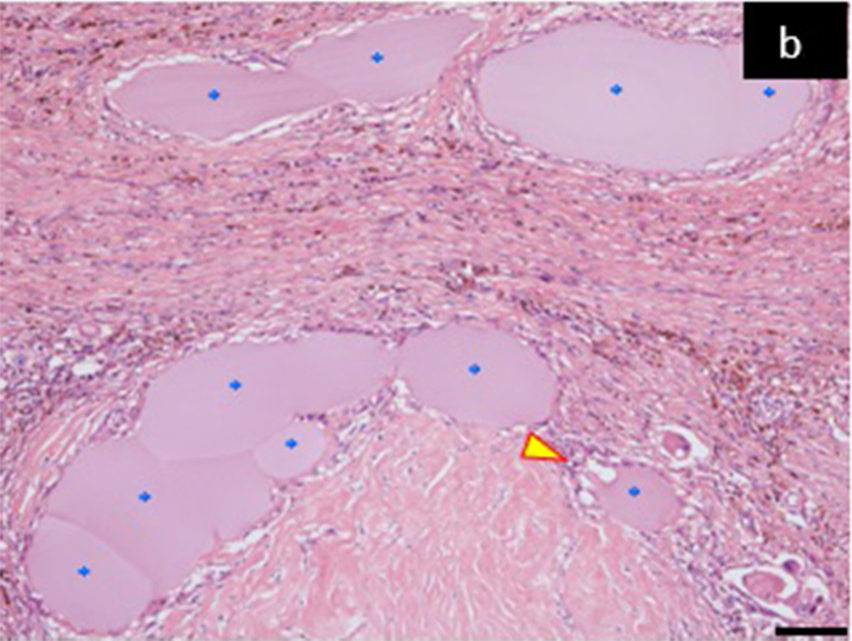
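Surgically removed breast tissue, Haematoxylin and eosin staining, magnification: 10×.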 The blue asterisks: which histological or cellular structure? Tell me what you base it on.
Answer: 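The asterisks mark smooth, glassy, pale lavender bodies devoid of nuclei. Several bodies are deformed and pressed together in groups. They lie within thin-walled vascular spaces surrounded by fibrous tissue. So: spherical particles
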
